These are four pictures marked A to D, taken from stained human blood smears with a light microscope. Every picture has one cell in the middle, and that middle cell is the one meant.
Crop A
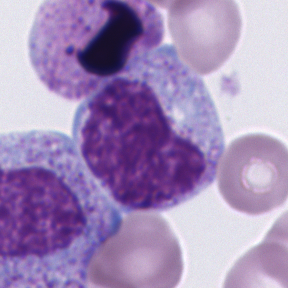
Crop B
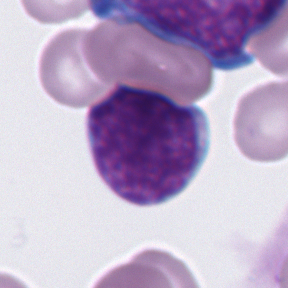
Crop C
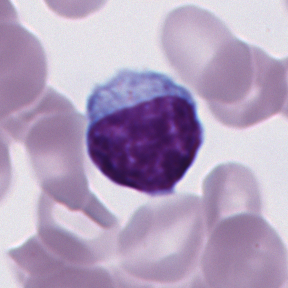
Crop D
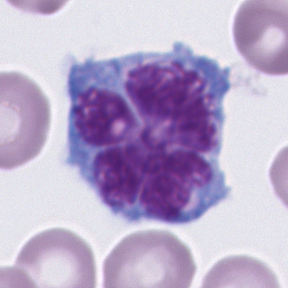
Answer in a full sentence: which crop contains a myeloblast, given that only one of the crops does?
The one that shows a myeloblast is crop B.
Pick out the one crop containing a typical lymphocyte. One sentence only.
Crop C is the crop featuring a typical lymphocyte at its center.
